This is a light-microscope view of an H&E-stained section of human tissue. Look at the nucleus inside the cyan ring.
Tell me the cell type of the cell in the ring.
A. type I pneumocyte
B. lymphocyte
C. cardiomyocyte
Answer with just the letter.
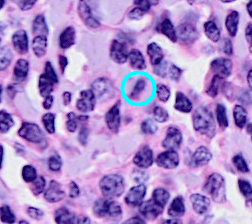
B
